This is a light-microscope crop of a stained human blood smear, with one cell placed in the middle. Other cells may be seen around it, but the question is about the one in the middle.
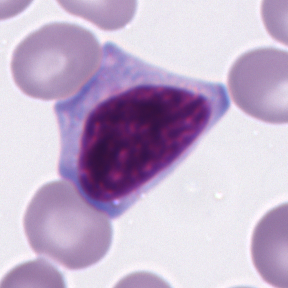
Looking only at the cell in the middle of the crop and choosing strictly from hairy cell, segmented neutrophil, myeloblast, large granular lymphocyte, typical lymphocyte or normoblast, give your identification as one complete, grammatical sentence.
On this slide crop, the central cell is a typical lymphocyte.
